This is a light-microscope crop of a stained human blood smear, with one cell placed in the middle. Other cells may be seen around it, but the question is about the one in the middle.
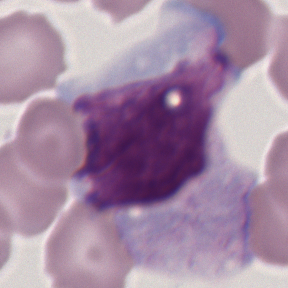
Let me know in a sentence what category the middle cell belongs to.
In the crop, the cell of interest at the centre is a monocyte.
